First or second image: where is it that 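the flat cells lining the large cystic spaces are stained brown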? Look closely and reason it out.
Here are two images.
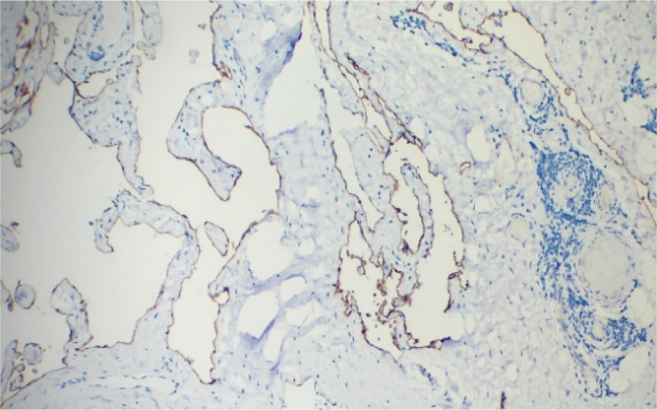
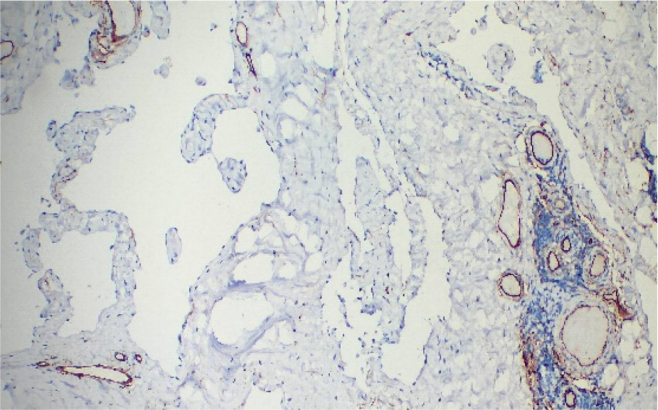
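The first image. Second image: the linings of the large spaces are unstained; brown is confined to small round vessels in the stroma. First image: the linings of the large spaces are traced by thin brown lines.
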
